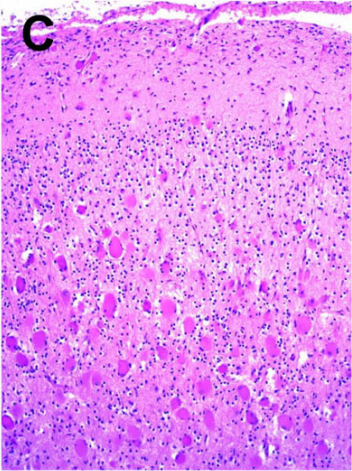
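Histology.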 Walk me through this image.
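Beneath a pale pink surface layer lies a band crowded with small dark nuclei, and below it the tissue is scattered with many large, round to oval cells filled with smooth, glassy pink cytoplasm. These large cells are many times the size of the surrounding small nuclei and lie haphazardly rather than in orderly layers, with no normal columnar arrangement of neurons.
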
